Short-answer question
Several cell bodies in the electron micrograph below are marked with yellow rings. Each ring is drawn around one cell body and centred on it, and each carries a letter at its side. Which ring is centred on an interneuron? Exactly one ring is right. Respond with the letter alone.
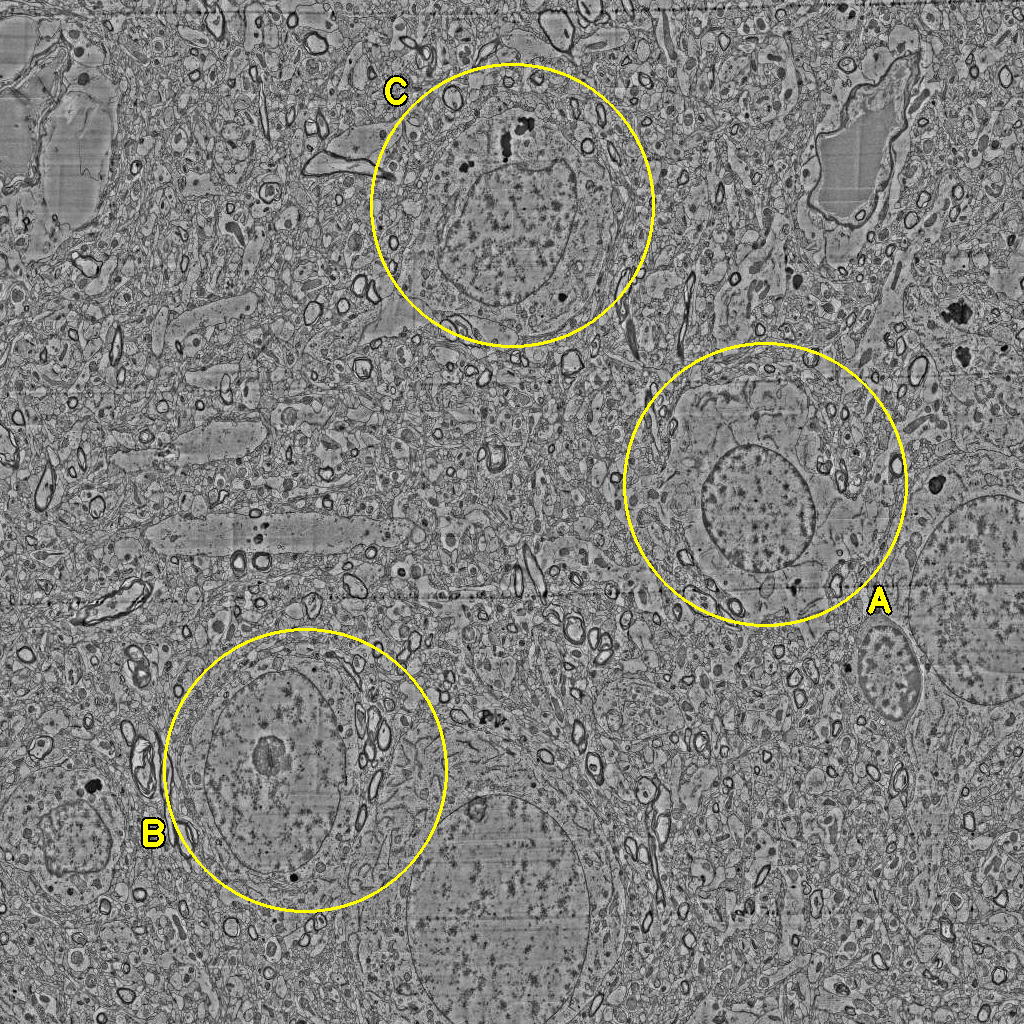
C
